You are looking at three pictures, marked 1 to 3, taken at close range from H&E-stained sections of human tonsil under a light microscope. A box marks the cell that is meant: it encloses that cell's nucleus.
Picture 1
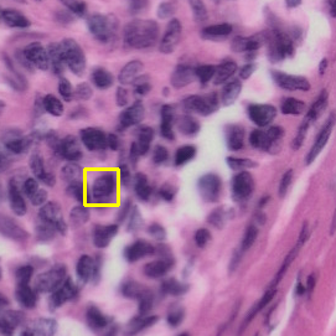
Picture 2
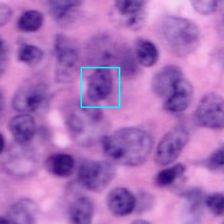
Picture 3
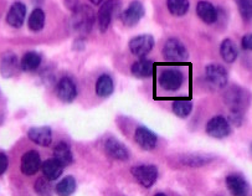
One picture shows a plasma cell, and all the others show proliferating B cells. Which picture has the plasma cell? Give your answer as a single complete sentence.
The cell in picture 3 is the plasma cell.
